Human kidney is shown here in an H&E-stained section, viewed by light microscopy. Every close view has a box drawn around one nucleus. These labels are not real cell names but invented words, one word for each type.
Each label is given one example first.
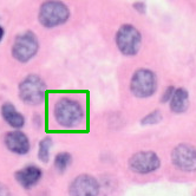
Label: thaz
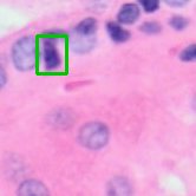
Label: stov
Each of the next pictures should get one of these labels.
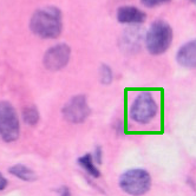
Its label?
stov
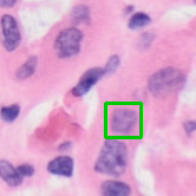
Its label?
stov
